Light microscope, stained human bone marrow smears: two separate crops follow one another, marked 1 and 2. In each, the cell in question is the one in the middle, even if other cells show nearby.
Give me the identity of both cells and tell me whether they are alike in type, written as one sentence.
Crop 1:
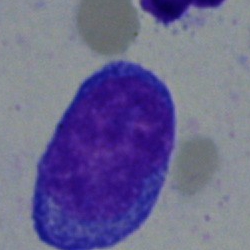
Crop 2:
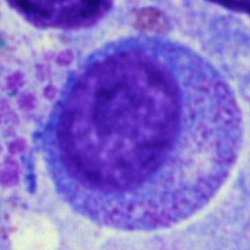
No, crop 1 is home to a blast, and crop 2 to a promyelocyte.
